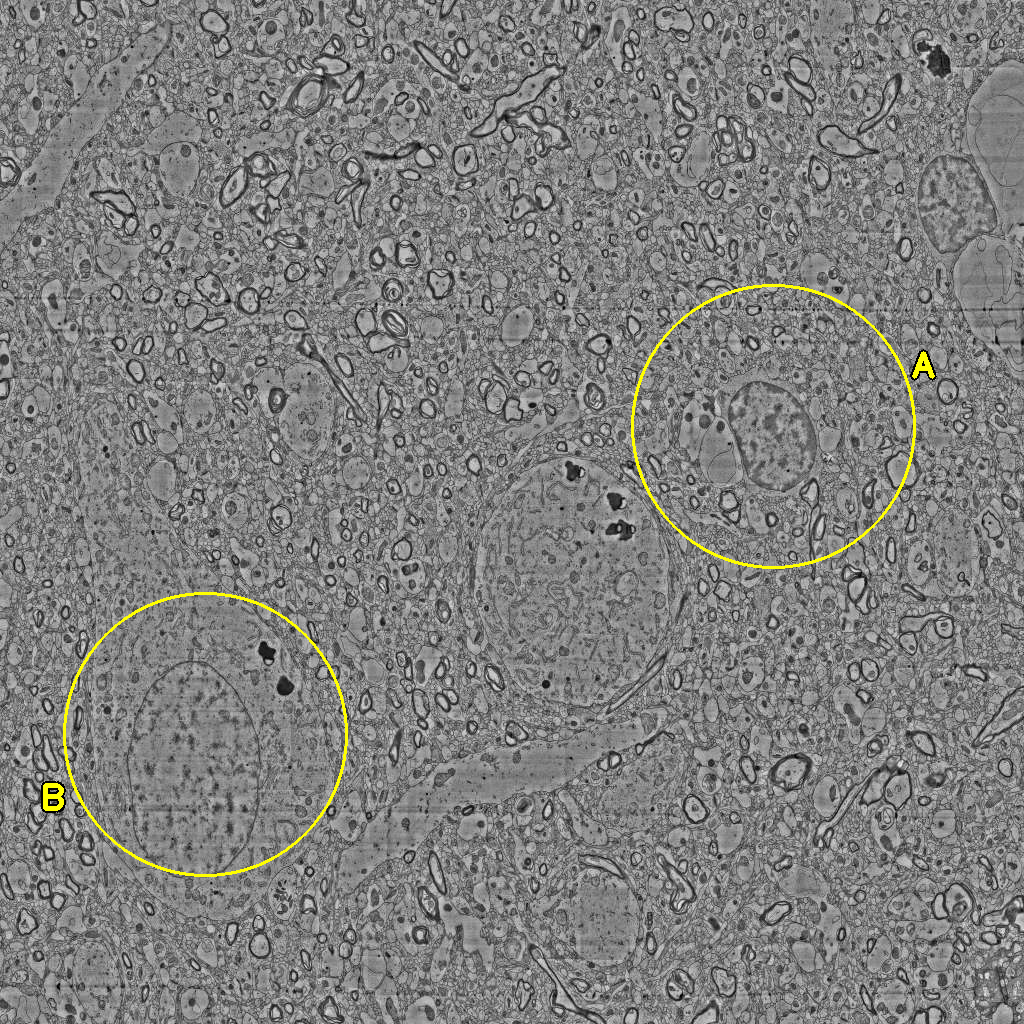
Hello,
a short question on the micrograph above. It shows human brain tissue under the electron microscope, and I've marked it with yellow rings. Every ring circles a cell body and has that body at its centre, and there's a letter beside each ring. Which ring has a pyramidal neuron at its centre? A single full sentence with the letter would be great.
The cell you asked about sits at the centre of ring B.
